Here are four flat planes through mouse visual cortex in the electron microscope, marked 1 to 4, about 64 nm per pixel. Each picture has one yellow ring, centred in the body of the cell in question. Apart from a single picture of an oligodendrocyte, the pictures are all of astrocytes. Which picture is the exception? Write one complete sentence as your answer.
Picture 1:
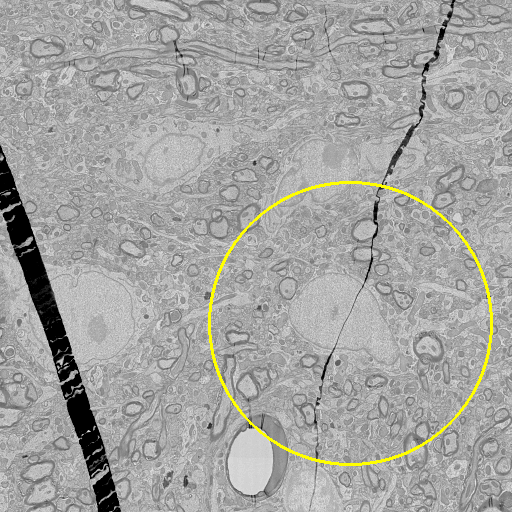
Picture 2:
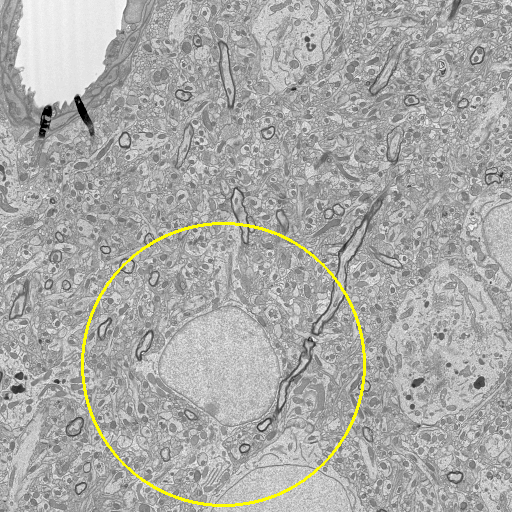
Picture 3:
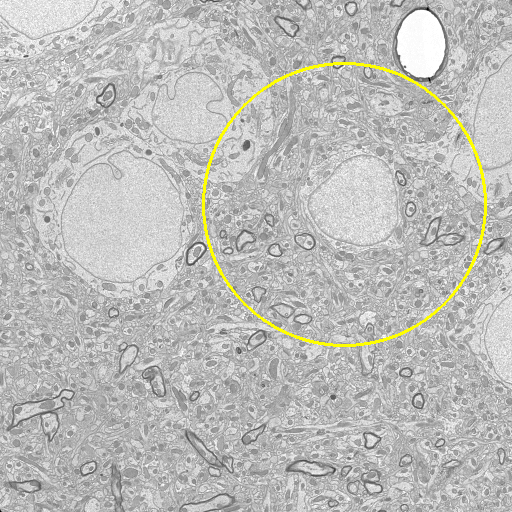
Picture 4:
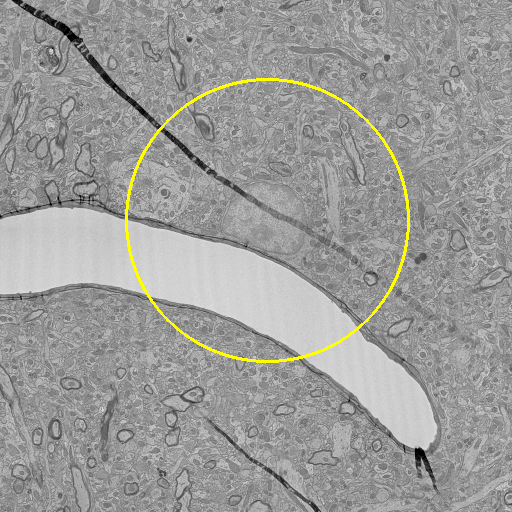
Picture 4 shows the oligodendrocyte.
